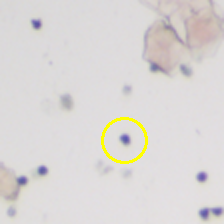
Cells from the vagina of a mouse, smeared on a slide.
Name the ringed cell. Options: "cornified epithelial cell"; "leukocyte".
leukocyte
